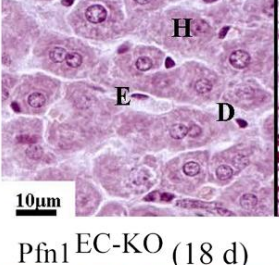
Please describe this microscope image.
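Liver tissue at high magnification with sheets of large polygonal hepatocytes. Each has pale pink, finely granular cytoplasm and a round central nucleus with a visible nucleolus; some cells hold two nuclei. The cells lie in rows, and between the rows run narrow clear channels, the sinusoids, lined by flat cells with thin, elongated, darkly stained nuclei, the endothelial cells. A few small, dense, dark nuclei sit at the edge of the channels.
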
